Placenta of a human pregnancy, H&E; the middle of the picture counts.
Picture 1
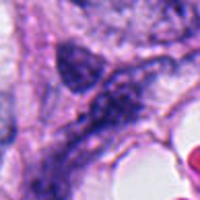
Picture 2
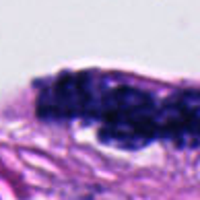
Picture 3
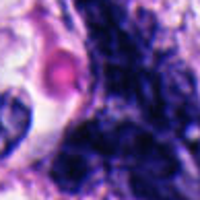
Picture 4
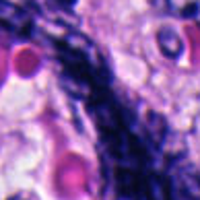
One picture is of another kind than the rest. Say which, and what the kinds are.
Picture 1 shows a cytotrophoblast; the rest show syncytial knots.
